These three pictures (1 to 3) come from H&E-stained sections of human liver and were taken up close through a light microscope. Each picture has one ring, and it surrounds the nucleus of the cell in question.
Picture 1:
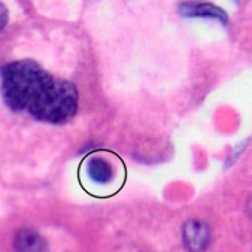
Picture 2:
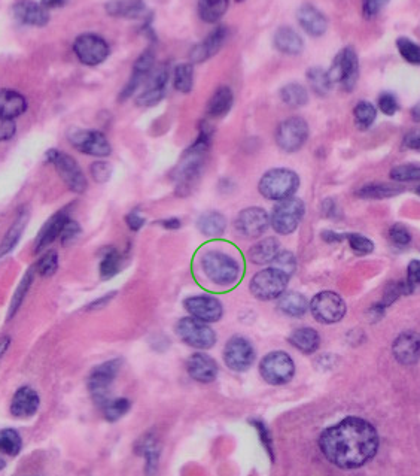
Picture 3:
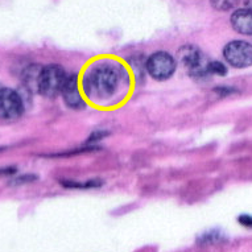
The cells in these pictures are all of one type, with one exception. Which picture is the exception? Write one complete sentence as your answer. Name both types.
Unlike the rest, which show cholangiocytes, picture 1 shows a lymphocyte.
